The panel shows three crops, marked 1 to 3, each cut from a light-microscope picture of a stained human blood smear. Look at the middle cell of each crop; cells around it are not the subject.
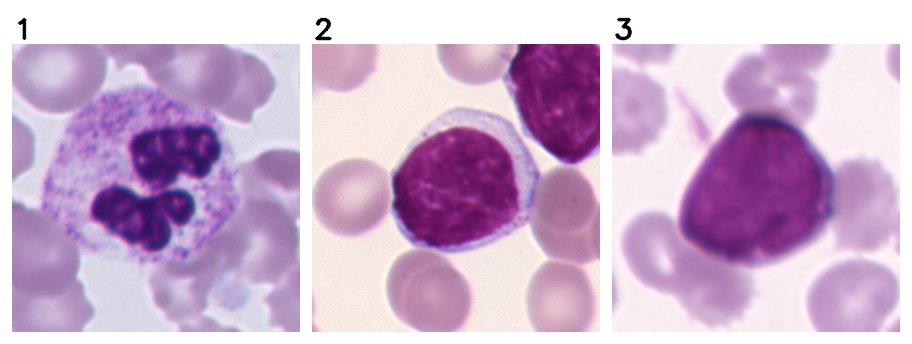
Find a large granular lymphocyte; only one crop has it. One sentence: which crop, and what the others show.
Crop 2 corresponds to a large granular lymphocyte, while crop 1 is a segmented neutrophil and crop 3 is a myeloblast.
